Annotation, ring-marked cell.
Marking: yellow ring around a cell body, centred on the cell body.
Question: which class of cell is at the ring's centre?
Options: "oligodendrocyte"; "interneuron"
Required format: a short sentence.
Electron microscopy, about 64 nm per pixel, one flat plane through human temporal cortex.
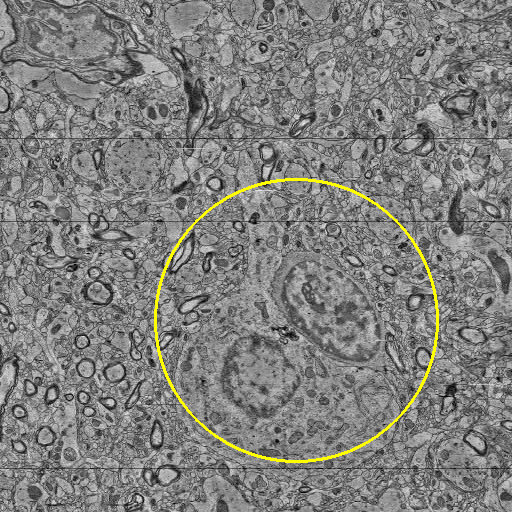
At the ring's centre is an oligodendrocyte.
